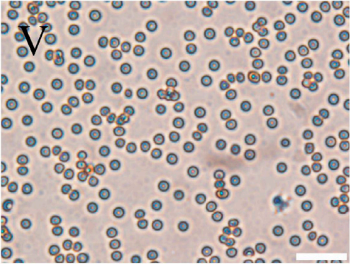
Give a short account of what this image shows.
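Densely scattered small round erythrocytes fill the field, mostly lying apart from one another. Each has a darker rim and a paler centre and lacks a nucleus. Their size and outline are much alike, and few if any look shrunken, spiked or broken. A few tiny dark particles lie between the cells. The red cells appear largely intact.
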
